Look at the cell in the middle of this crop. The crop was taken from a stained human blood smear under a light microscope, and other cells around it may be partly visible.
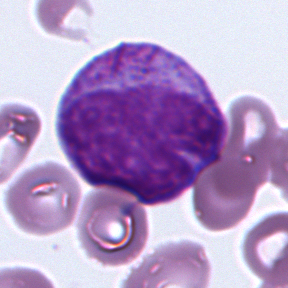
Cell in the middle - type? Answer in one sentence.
The centrally located cell in the crop is an atypical promyelocyte.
